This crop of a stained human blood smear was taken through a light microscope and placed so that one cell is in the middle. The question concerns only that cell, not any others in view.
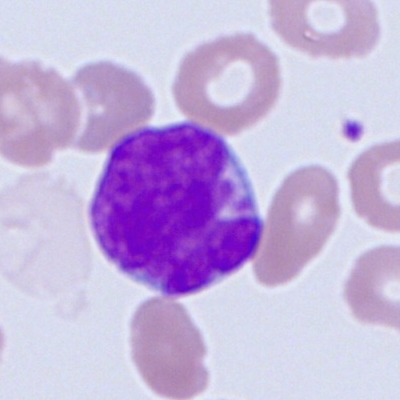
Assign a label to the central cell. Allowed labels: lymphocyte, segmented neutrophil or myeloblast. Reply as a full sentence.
The middle cell in this particular crop is a myeloblast.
